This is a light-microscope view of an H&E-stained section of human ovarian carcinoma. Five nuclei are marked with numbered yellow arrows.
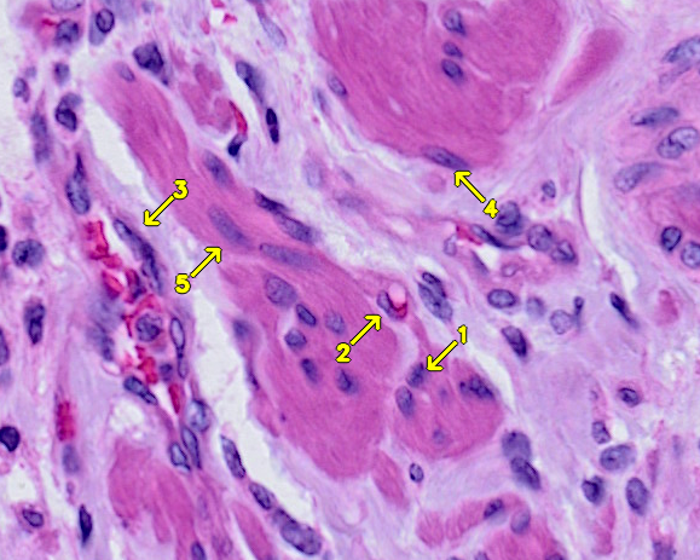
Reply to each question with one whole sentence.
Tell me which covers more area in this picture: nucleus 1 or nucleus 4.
Nucleus 4 is the larger one, covering about 2 times the area of nucleus 1.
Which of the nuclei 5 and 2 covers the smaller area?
With nucleus 5 about 1.5 times its size, nucleus 2 is the smaller of the two.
